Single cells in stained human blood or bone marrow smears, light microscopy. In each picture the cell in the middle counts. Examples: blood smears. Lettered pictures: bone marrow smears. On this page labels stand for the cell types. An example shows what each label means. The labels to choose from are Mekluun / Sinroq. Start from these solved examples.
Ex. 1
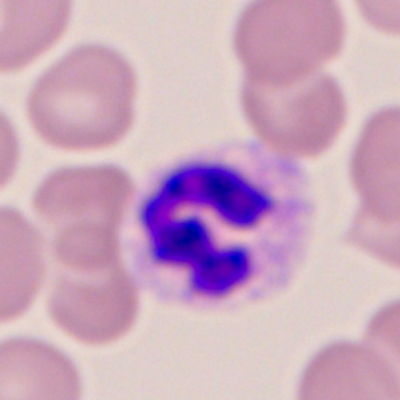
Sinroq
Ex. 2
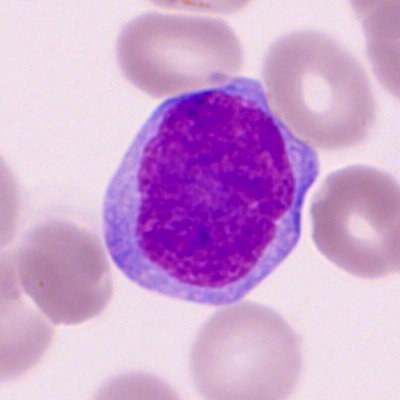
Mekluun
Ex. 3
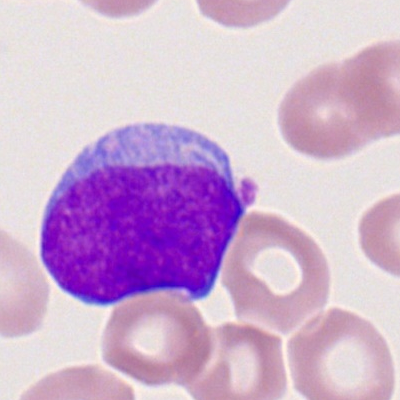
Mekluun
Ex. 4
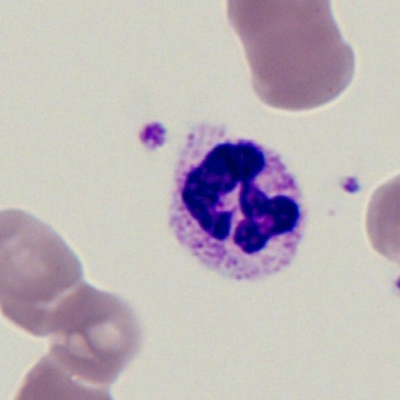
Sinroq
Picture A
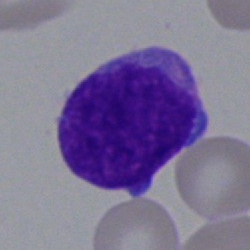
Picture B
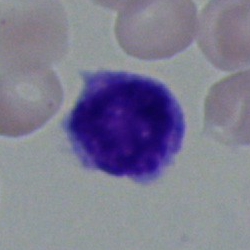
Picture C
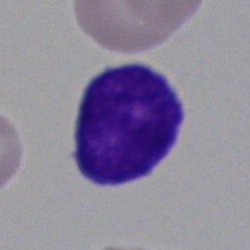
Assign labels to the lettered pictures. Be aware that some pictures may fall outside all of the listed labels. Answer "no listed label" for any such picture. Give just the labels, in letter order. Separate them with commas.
Mekluun, no listed label, Mekluun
